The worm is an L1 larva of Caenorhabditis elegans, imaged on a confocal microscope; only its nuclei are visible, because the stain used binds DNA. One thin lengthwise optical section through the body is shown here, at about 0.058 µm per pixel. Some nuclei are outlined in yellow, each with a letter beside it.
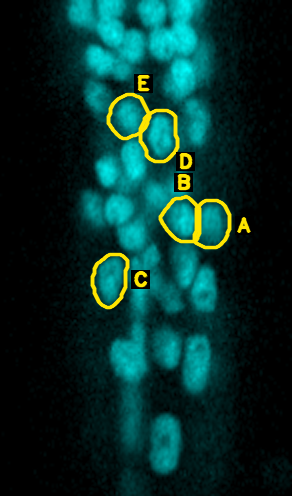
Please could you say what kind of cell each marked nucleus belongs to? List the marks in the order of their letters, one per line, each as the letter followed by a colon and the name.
A: body wall muscle cell
B: arcade cell
C: body wall muscle cell
D: pharyngeal muscle cell
E: neuron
